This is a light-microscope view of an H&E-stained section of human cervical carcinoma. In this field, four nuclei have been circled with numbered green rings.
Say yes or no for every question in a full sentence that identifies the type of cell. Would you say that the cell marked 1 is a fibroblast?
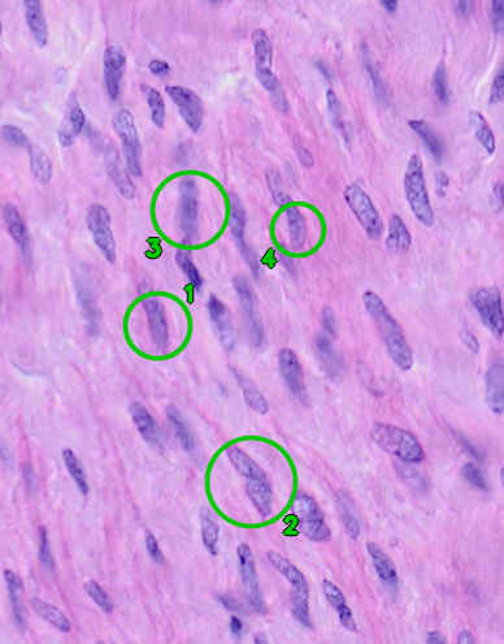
No, for cell 1, the correct identification is a smooth muscle cell instead of a fibroblast.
